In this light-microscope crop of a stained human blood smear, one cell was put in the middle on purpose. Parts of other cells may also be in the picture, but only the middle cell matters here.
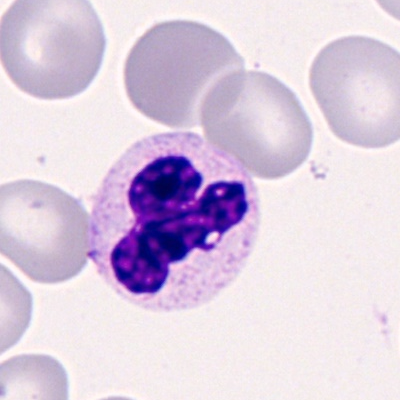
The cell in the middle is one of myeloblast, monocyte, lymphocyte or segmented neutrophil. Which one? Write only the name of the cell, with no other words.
segmented neutrophil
